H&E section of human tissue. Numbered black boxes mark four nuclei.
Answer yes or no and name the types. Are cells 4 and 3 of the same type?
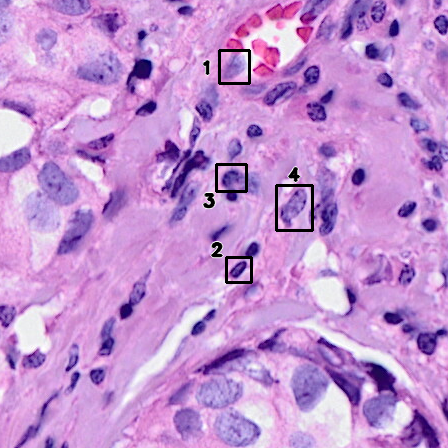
No, as to type, cell 4 is a macrophage, monocyte or dendritic cell, and cell 3 is a lymphocyte.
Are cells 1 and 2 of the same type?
No, hold on, cell 1 is an endothelial cell and cell 2 is a lymphocyte.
